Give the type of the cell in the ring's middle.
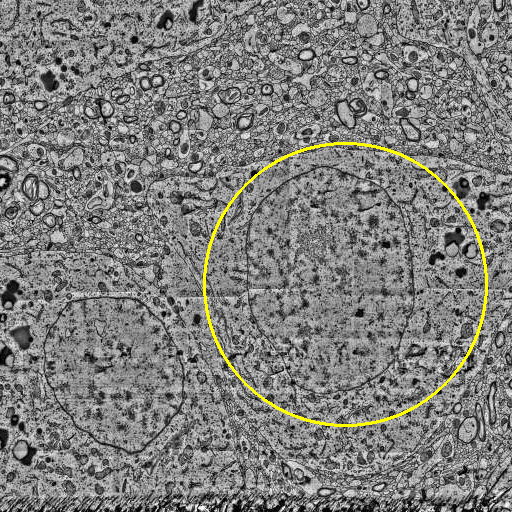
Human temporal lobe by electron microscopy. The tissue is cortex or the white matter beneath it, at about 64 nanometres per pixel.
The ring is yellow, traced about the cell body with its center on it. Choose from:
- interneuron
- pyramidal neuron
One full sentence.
Here, a pyramidal neuron is the cell lying at the center of the yellow ring.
